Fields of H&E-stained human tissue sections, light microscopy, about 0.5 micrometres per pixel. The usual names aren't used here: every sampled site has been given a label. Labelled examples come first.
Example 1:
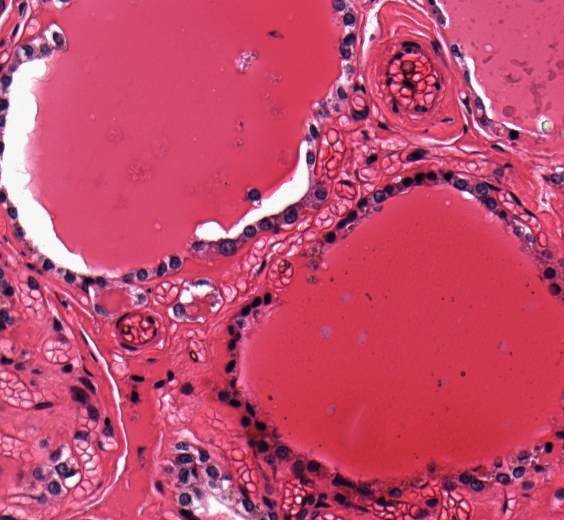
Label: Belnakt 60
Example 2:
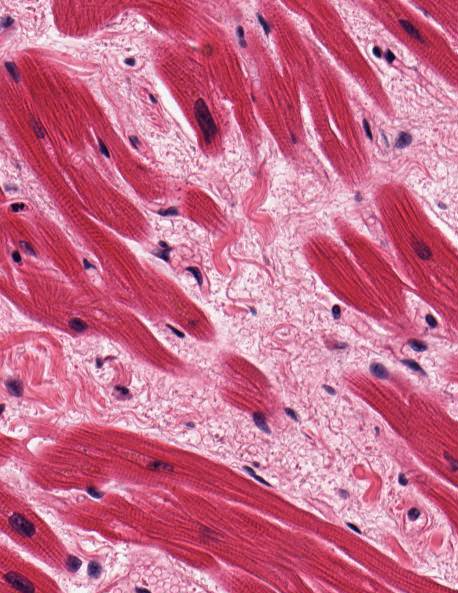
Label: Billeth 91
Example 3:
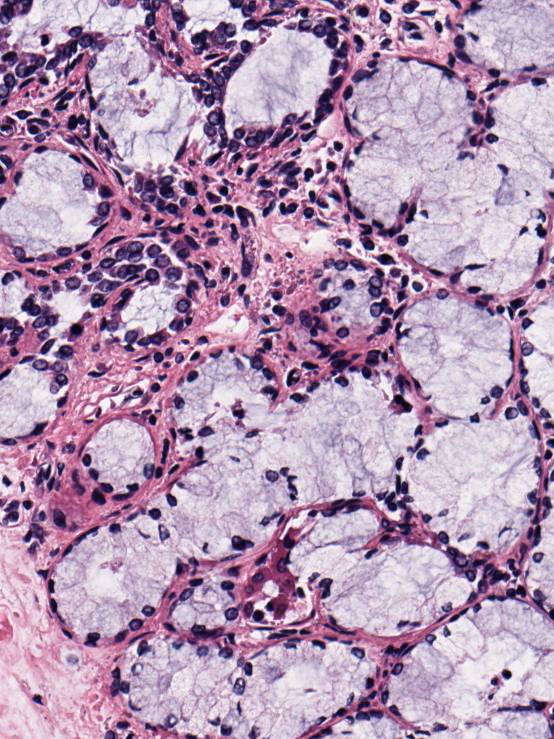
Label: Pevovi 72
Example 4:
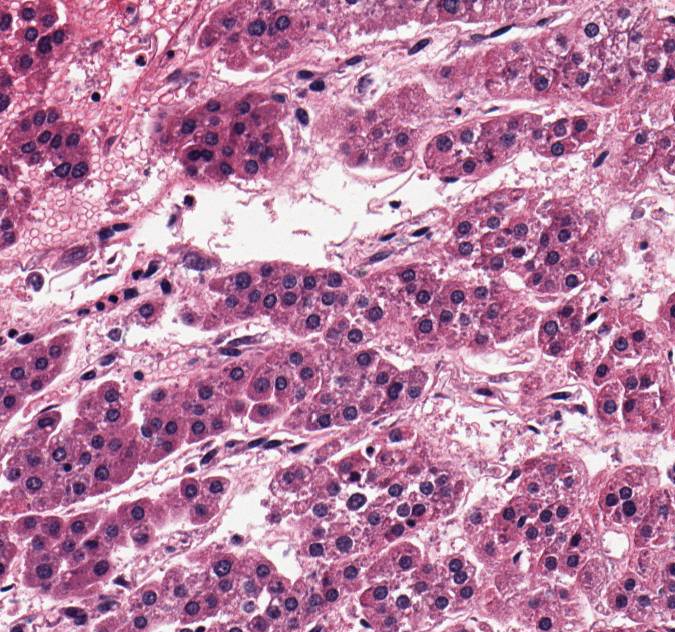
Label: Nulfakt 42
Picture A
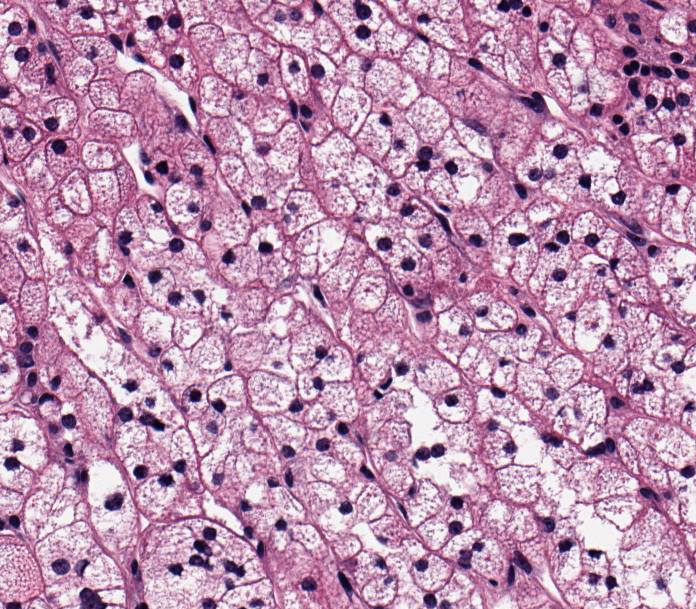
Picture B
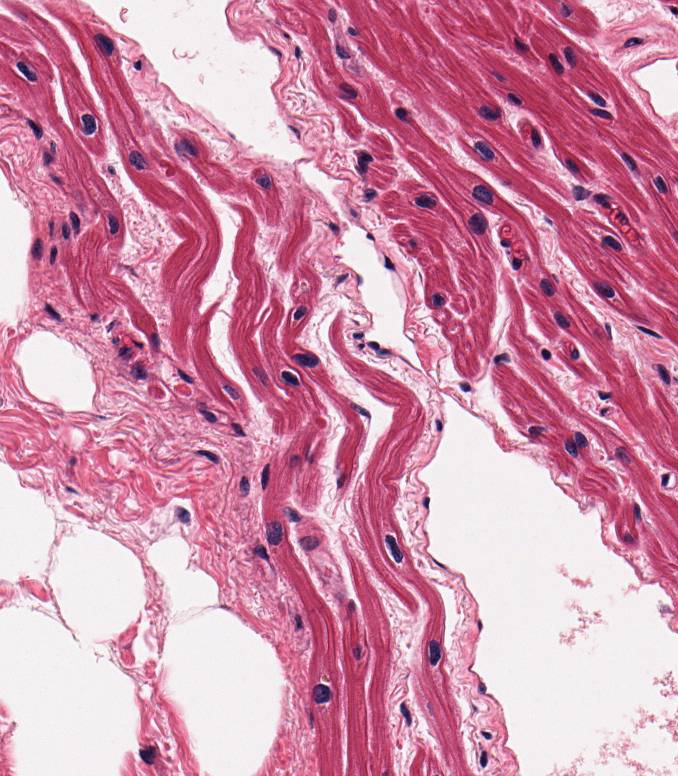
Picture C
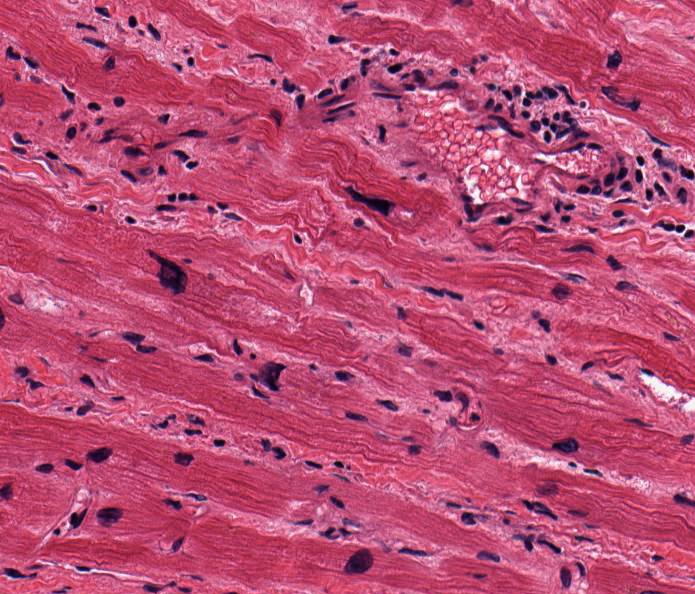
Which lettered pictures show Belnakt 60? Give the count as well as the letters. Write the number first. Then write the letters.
0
